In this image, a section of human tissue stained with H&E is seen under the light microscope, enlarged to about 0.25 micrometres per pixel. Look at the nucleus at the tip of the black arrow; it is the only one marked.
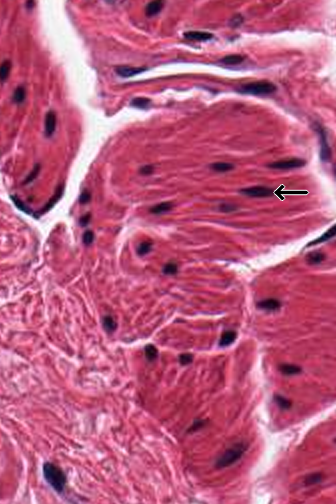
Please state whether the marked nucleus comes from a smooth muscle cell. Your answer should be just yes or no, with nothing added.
yes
